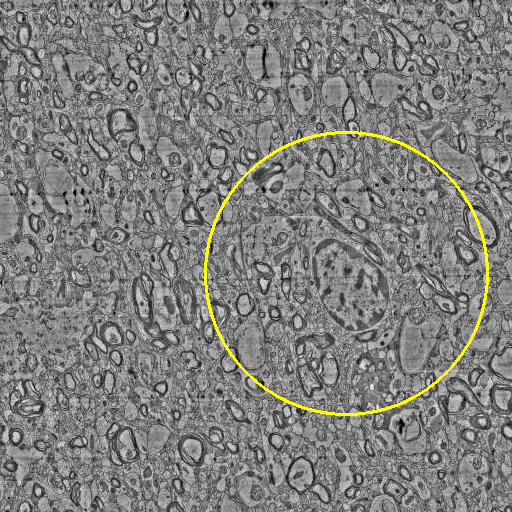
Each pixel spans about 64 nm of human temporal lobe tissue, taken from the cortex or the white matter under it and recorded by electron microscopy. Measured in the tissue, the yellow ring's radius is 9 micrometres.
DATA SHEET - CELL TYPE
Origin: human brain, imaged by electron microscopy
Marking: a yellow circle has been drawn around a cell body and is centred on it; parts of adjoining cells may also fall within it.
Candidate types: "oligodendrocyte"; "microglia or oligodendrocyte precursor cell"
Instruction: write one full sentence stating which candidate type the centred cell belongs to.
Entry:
The cell body at the centre of the yellow ring in this micrograph belongs to a microglial cell or oligodendrocyte precursor cell.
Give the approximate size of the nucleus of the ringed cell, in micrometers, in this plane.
The nucleus of the ringed cell is approximately 6 by 4 micrometres in this plane.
